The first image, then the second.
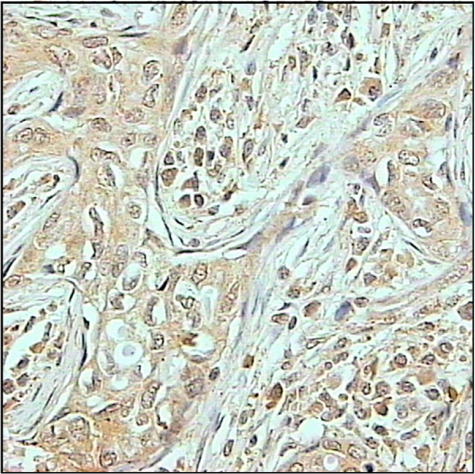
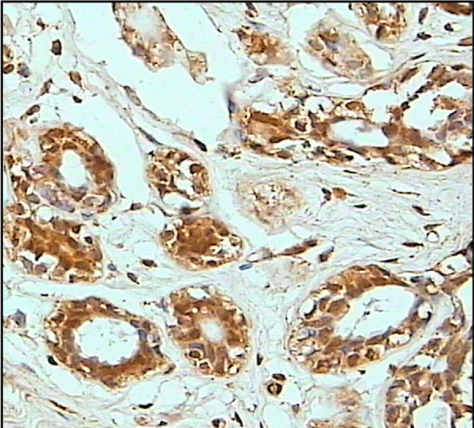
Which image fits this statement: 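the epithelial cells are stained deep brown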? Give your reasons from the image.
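The second image. First image: the tumour cells show only pale tan cytoplasm with brownish nuclei.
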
